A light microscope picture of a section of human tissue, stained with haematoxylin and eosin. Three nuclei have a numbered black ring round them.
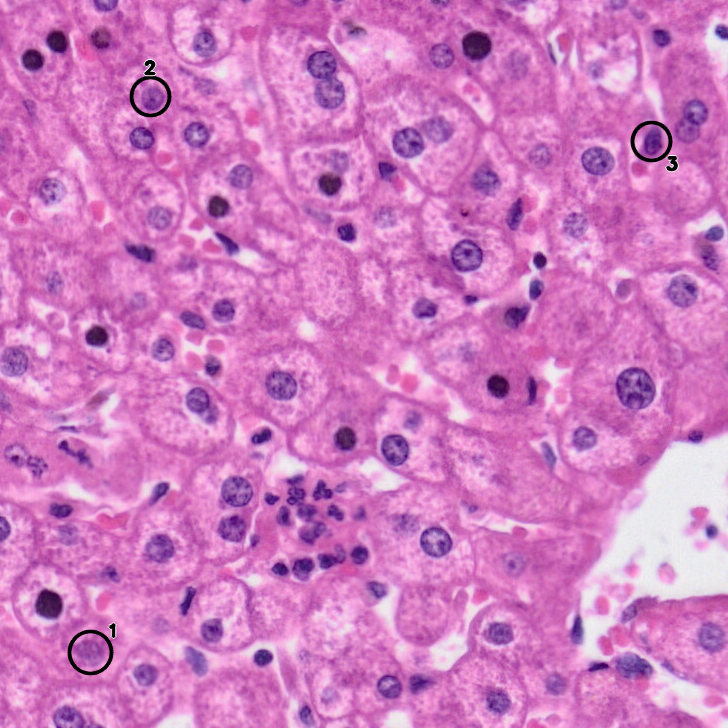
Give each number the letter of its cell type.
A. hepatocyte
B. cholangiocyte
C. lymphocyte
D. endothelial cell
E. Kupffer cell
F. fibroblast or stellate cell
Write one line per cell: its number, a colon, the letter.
1: A
2: A
3: E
